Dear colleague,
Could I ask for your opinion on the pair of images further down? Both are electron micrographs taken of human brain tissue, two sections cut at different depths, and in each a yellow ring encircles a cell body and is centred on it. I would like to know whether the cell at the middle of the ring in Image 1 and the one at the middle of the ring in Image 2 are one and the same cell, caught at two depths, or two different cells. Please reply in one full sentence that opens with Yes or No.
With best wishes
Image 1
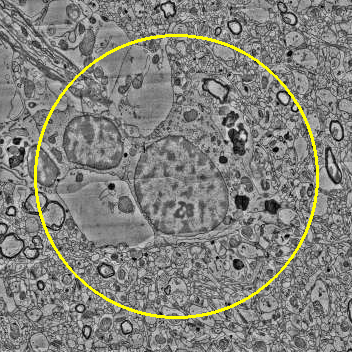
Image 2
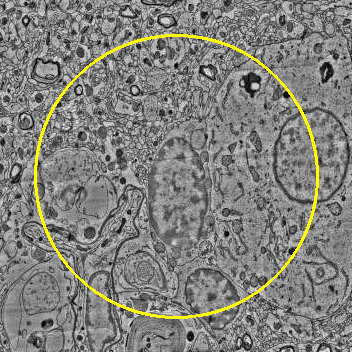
No, the two rings are not on the same cell.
